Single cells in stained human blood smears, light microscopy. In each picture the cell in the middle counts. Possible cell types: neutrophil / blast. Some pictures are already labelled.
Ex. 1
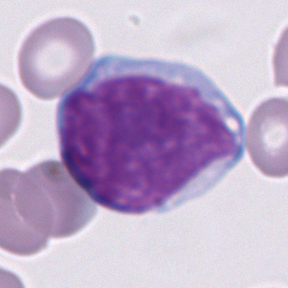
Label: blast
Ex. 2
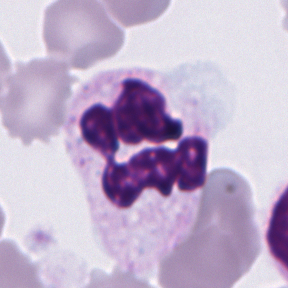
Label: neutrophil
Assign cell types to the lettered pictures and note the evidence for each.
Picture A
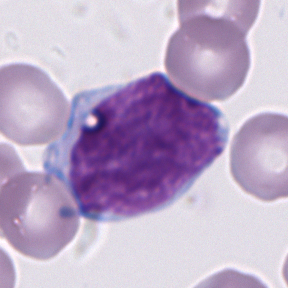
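blast. Evidence: The cytoplasm forms a narrow rim that is widest on the left side of the cell.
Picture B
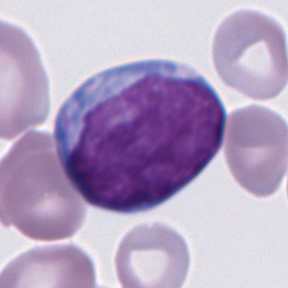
blast. Evidence: The cytoplasm forms a narrow crescent along the upper-left side of the cell.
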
